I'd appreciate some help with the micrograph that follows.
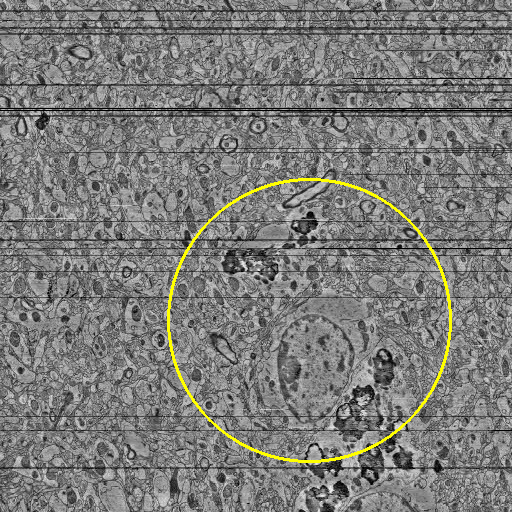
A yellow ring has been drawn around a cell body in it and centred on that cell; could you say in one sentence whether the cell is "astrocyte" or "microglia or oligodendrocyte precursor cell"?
It is a microglial cell or oligodendrocyte precursor cell at the centre of the ring.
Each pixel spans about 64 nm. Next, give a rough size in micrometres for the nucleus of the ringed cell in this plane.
Roughly 7 by 5 micrometres; in this plane, clearly longer than it is wide.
